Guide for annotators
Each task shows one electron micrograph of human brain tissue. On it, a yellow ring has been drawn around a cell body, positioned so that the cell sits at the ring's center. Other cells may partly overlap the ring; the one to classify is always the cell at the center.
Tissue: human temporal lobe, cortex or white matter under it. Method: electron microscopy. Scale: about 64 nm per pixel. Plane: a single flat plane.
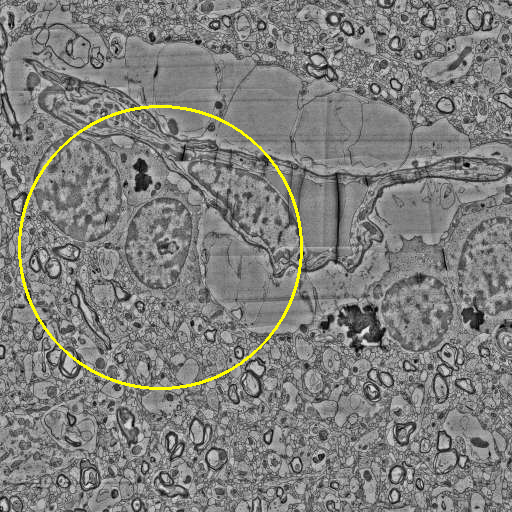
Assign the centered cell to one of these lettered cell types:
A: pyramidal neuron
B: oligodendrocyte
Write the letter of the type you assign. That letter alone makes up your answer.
B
